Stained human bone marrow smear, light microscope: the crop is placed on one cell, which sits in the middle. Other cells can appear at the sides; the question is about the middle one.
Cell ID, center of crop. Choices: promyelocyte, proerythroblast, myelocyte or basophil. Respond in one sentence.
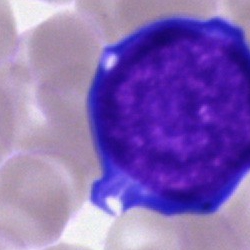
Among the cells in view, the one in the middle is a proerythroblast.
